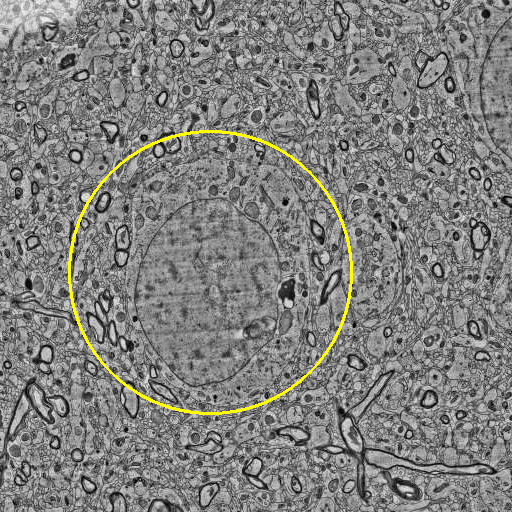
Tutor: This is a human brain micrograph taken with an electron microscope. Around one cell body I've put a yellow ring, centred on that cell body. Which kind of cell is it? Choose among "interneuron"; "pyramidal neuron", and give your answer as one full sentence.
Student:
Going by your list, the cell centred in the yellow ring is a pyramidal neuron.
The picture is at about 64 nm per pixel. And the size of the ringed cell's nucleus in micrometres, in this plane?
Roughly 12 by 10 micrometres in this plane, for the nucleus of the ringed cell.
